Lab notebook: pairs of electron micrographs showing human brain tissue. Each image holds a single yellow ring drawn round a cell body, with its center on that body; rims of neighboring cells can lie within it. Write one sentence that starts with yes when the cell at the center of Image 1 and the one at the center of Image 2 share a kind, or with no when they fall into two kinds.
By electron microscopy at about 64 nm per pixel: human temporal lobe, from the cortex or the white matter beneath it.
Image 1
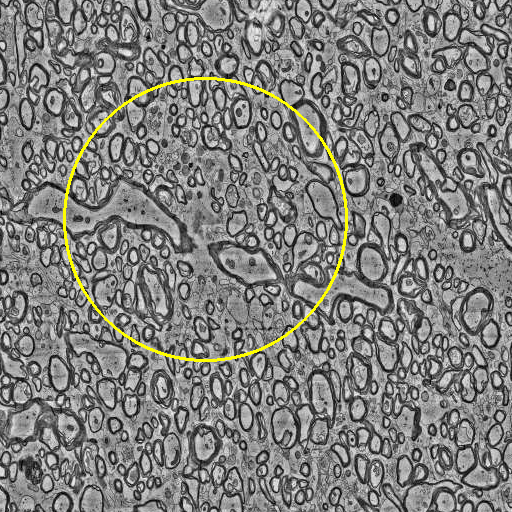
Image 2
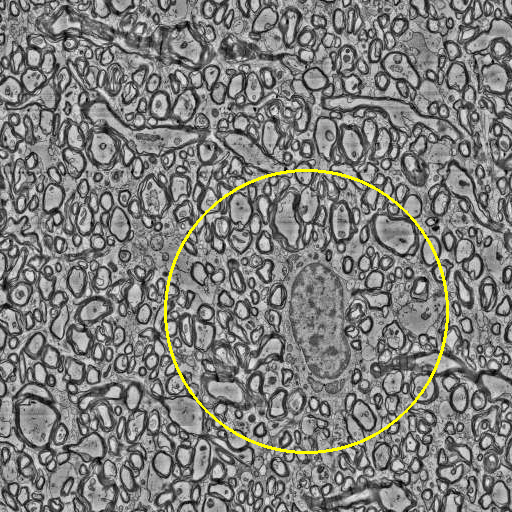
Yes, the centered cell in Image 1 and the centered cell in Image 2 are of one kind.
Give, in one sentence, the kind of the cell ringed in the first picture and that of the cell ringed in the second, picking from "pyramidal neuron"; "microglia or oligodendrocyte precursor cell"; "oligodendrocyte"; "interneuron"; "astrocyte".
Each of the two rings surrounds an oligodendrocyte.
